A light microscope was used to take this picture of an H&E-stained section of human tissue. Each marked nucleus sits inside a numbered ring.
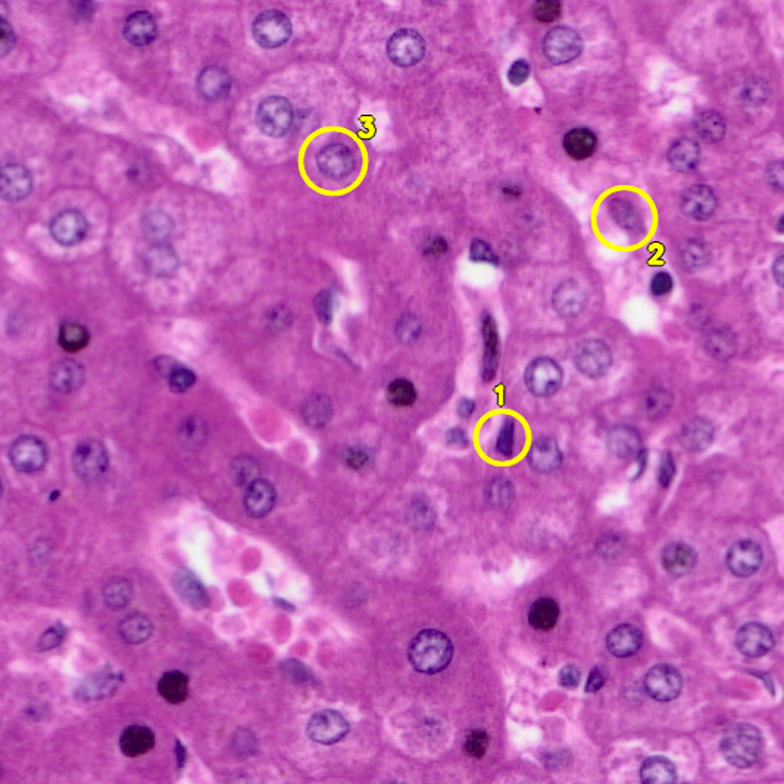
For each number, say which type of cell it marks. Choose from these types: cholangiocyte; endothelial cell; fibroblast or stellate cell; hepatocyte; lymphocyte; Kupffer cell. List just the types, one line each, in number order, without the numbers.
fibroblast or stellate cell
Kupffer cell
hepatocyte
